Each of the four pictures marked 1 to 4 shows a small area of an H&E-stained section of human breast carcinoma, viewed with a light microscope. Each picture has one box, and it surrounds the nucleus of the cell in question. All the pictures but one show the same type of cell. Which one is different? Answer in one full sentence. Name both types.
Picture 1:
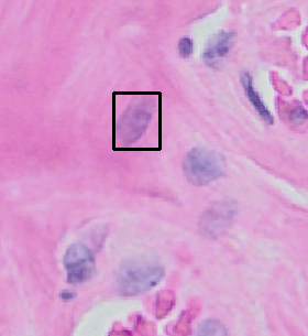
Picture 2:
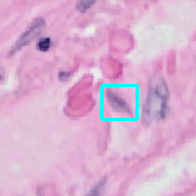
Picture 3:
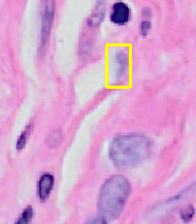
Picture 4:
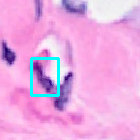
The different one is picture 1; it shows a fibroblast, whereas all the others show endothelial cells.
